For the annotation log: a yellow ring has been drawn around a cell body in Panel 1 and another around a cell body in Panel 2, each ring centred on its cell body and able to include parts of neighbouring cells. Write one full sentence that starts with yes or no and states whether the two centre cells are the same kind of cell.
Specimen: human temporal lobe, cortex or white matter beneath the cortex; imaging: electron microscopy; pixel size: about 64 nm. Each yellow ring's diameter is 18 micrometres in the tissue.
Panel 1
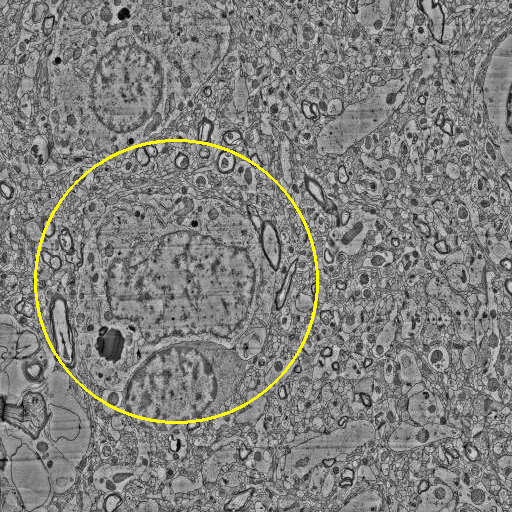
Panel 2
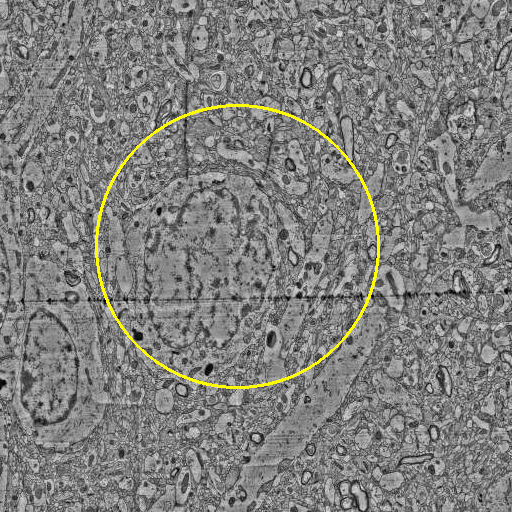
Yes, the two centre cells are the same kind of cell.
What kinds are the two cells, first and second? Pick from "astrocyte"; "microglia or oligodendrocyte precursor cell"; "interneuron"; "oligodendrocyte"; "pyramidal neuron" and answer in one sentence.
Each cell, in the first picture and the second, is an interneuron.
